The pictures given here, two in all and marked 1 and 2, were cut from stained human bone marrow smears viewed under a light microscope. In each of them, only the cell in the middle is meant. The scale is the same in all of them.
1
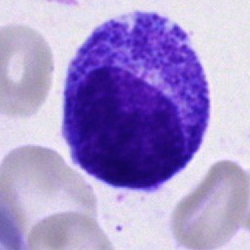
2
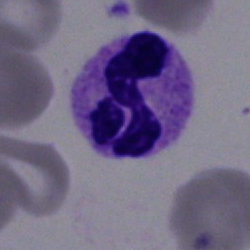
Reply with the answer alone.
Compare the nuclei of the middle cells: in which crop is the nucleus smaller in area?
2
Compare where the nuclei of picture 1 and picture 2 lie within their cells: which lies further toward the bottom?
1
